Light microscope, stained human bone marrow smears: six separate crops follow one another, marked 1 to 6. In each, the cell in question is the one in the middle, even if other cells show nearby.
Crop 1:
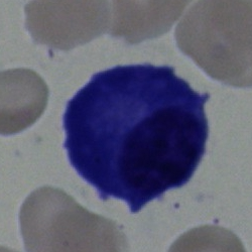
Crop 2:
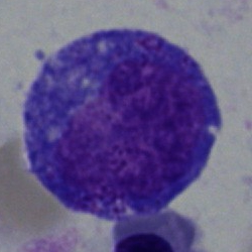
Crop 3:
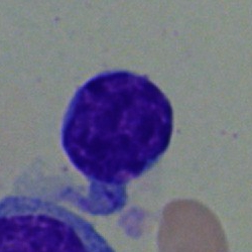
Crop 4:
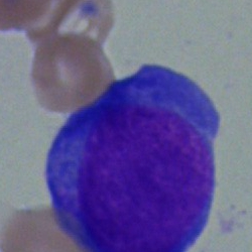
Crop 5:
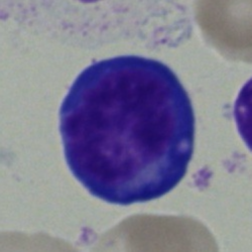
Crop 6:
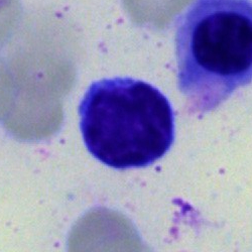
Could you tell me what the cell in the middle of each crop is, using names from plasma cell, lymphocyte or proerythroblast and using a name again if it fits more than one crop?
1: plasma cell
2: proerythroblast
3: lymphocyte
4: proerythroblast
5: proerythroblast
6: lymphocyte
